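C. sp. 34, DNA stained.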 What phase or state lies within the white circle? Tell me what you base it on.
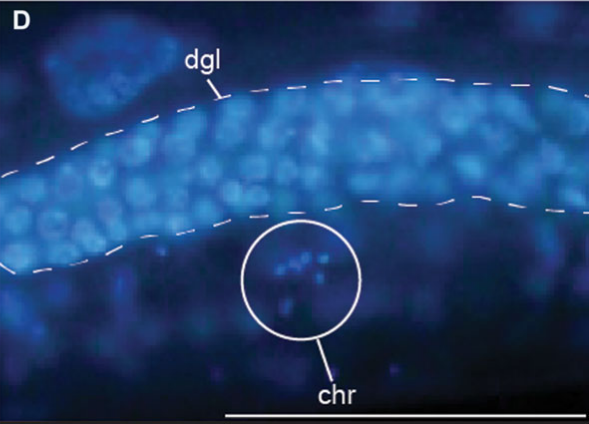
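The circle holds a few small, separate, compact bright bodies. The bodies lie apart from the dense band of round nuclei above.
Hence: late‐prophase I.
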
